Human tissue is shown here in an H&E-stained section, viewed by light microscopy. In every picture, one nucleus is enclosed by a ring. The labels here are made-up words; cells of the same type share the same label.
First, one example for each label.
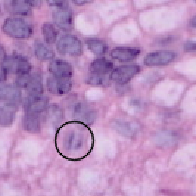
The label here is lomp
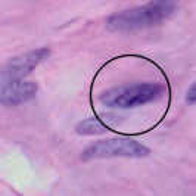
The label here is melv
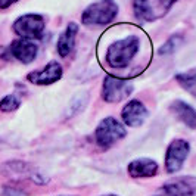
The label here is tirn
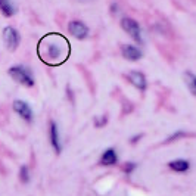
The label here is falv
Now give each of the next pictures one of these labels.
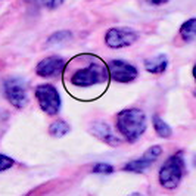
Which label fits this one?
tirn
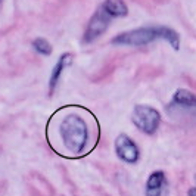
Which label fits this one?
falv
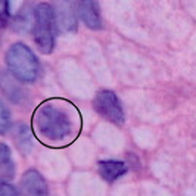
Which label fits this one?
lomp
